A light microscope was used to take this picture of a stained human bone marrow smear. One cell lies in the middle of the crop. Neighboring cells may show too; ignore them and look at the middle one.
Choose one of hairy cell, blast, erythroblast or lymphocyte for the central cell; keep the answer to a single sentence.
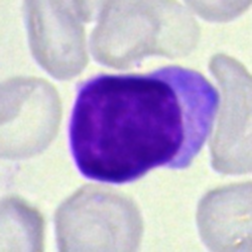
The cell around which this crop is centred is a lymphocyte.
